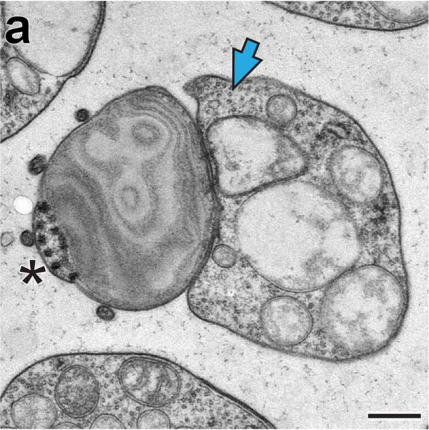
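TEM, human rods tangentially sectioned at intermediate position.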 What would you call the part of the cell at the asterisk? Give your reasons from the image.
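At the edge of the large lamellated profile lies a cluster of small dark ring-shaped profiles. The cluster is arranged in an arc along the membrane. So: ciliary axoneme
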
